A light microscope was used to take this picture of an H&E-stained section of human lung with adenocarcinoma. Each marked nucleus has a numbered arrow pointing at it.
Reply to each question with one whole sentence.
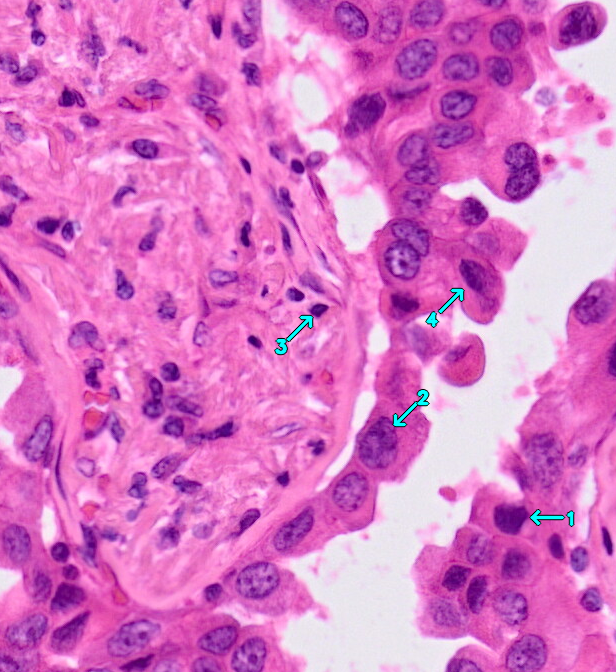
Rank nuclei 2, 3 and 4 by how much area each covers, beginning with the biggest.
The nuclei rank 2, 4, 3, from largest to smallest.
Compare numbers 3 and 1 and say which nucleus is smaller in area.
Number 3 is smaller, since number 1 takes up about 4 times as much area.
